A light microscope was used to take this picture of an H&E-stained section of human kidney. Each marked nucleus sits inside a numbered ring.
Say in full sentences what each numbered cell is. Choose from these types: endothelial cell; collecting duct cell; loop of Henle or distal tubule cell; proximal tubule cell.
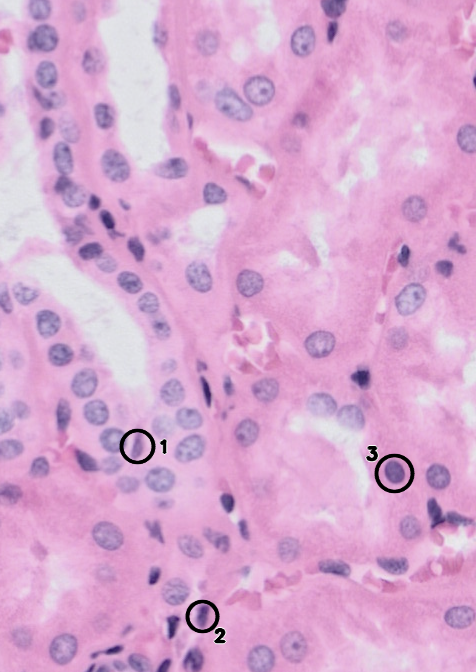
Cell 1 is a collecting duct cell. Cell 2 is a loop of Henle or distal tubule cell. Cell 3 is a proximal tubule cell.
